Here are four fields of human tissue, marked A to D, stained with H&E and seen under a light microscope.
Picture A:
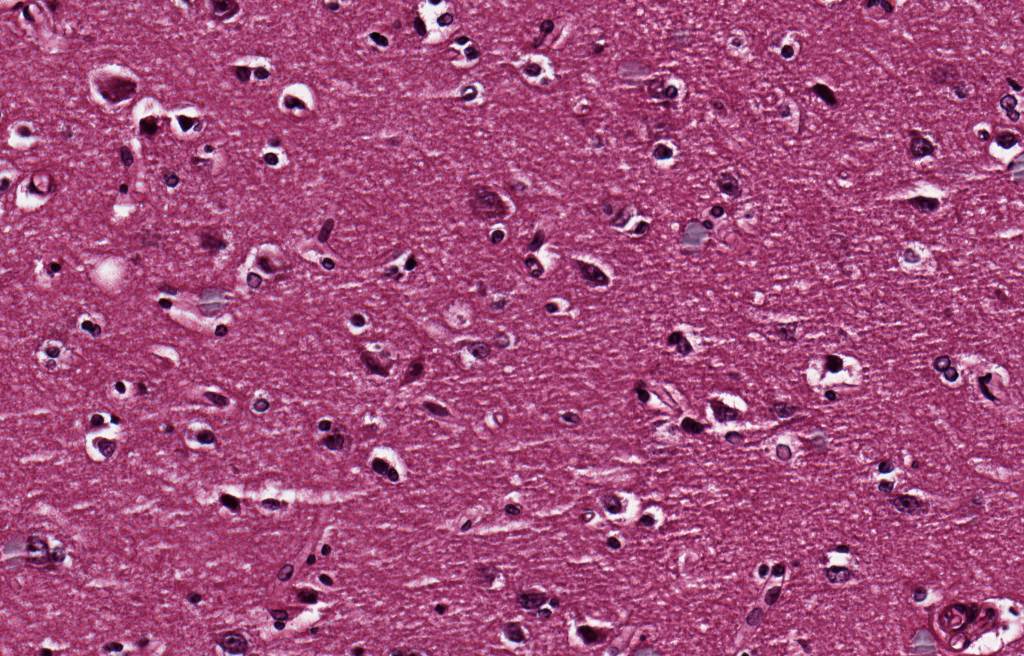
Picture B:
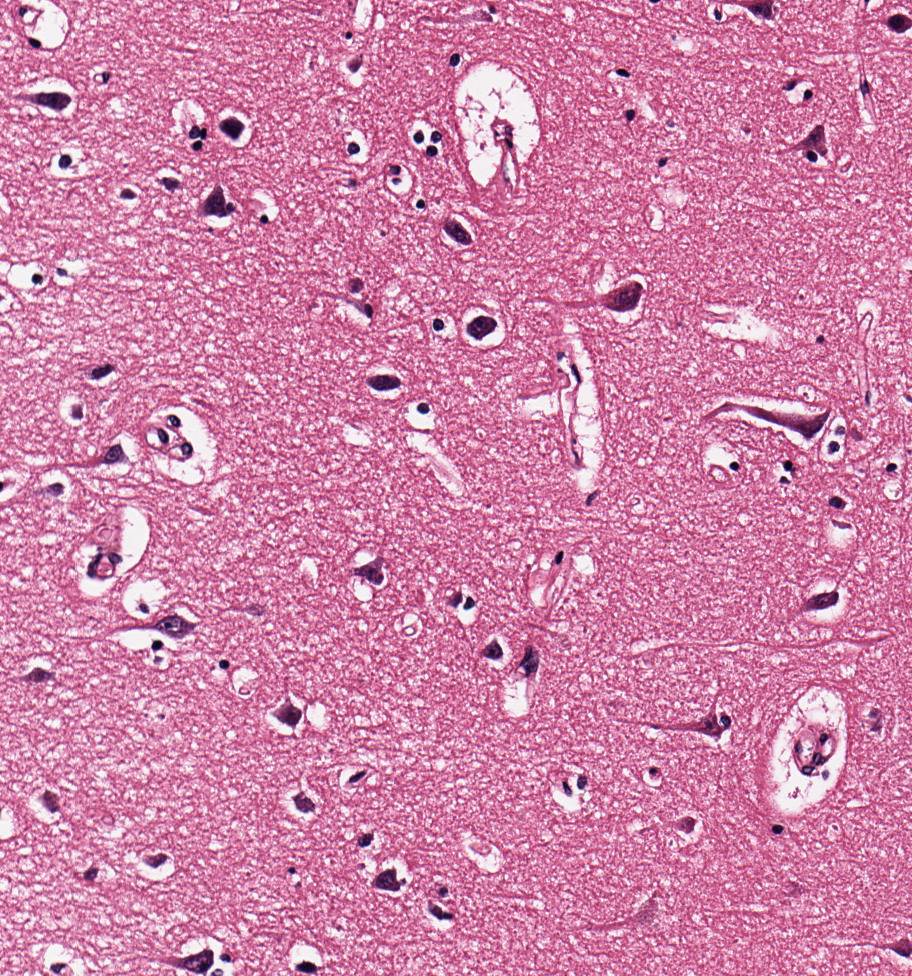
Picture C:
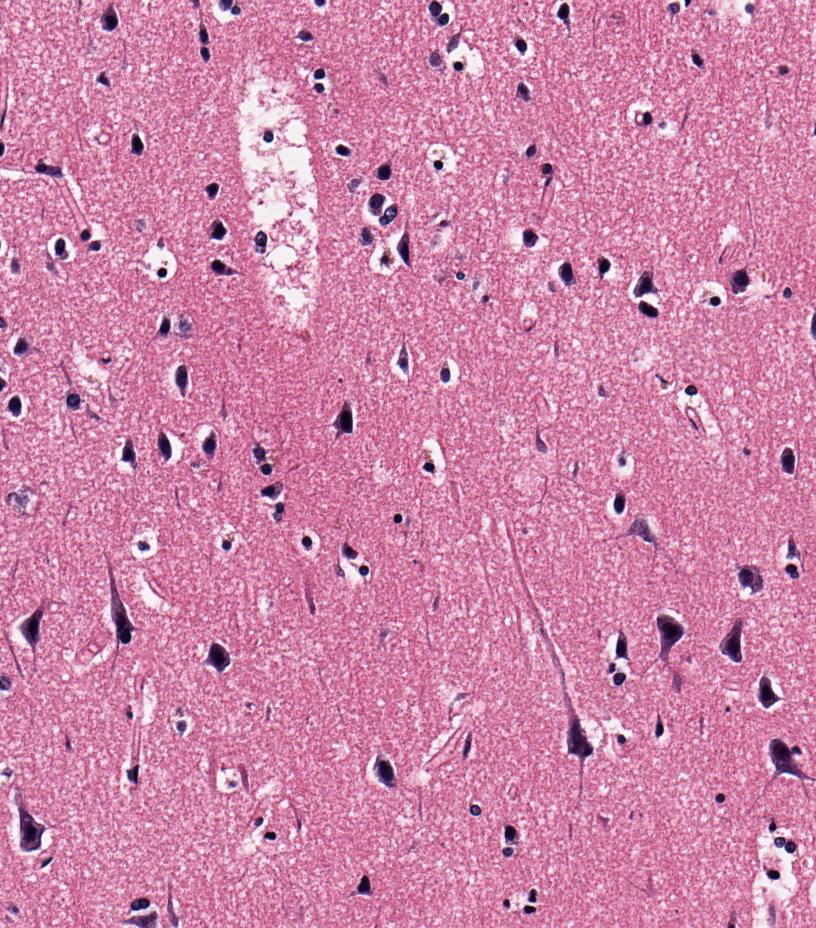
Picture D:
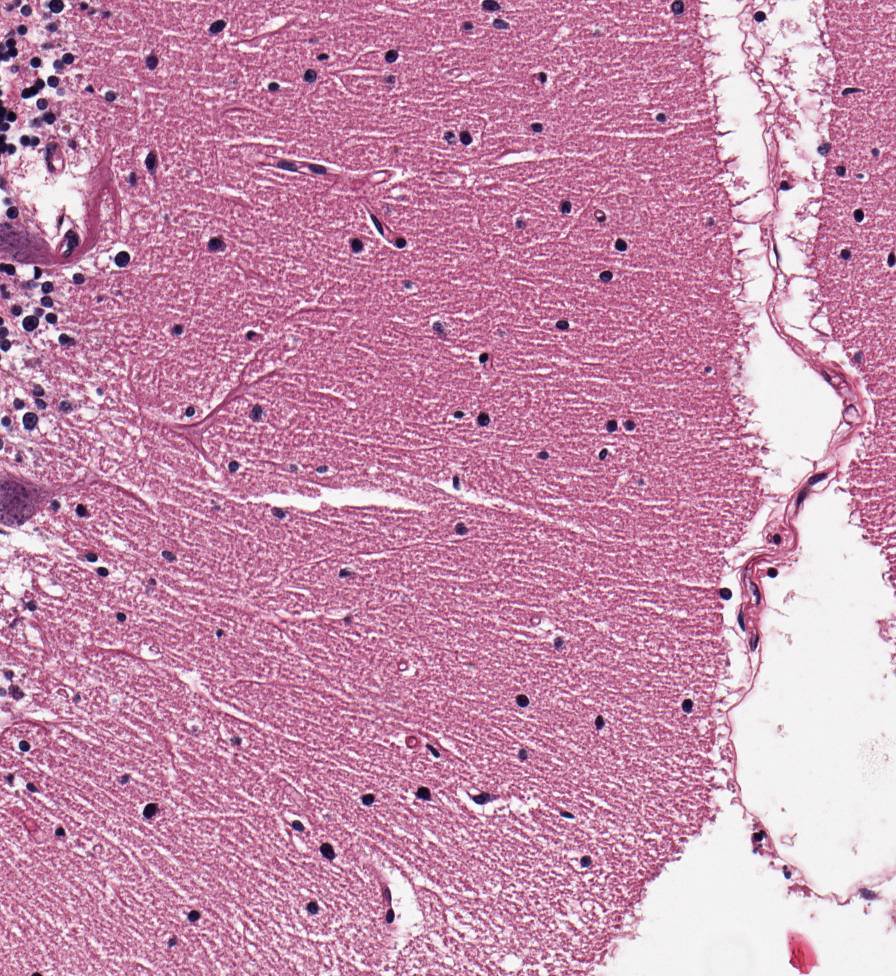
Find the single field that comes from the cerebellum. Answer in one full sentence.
The one that comes from the cerebellum is picture D.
